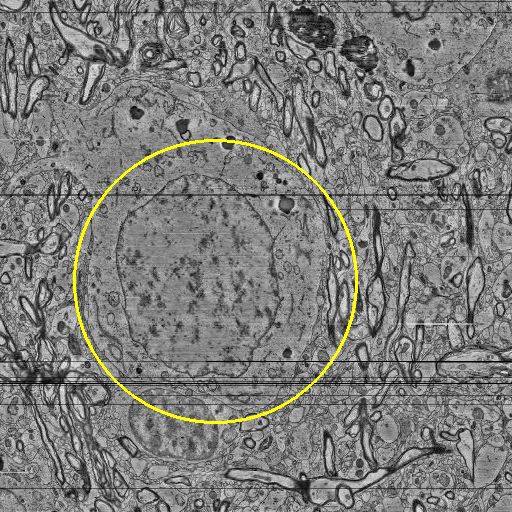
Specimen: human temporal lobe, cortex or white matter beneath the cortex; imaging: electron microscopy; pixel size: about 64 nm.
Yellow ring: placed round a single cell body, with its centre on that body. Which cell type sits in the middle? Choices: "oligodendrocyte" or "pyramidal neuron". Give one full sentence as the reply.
It is a pyramidal neuron whose cell body sits at the centre of the yellow ring.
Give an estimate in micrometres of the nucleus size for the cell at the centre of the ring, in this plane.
The nucleus has a long axis of about 14 micrometres and a short axis of about 10 micrometres in this plane.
